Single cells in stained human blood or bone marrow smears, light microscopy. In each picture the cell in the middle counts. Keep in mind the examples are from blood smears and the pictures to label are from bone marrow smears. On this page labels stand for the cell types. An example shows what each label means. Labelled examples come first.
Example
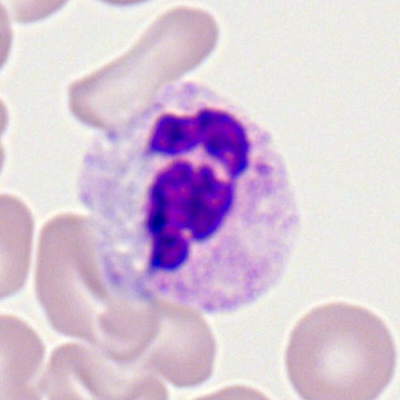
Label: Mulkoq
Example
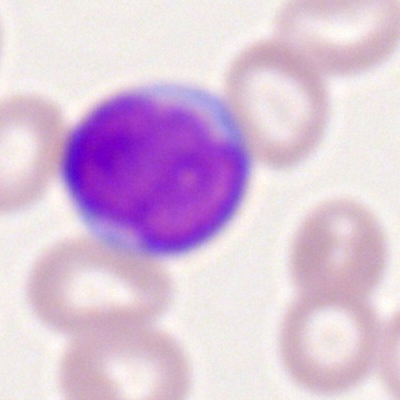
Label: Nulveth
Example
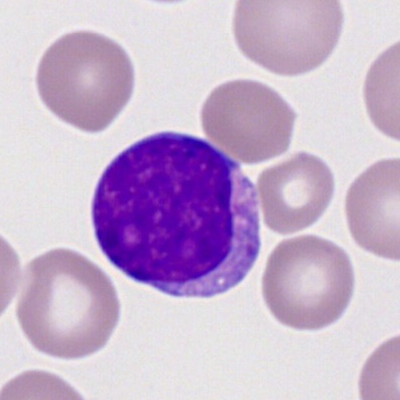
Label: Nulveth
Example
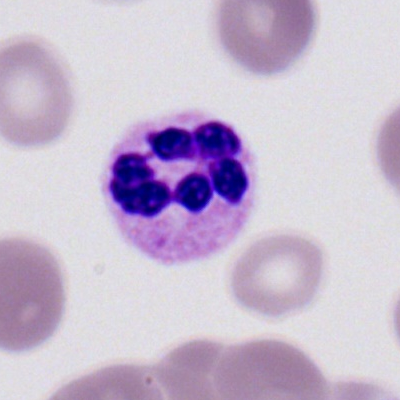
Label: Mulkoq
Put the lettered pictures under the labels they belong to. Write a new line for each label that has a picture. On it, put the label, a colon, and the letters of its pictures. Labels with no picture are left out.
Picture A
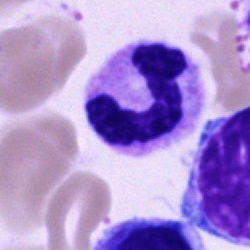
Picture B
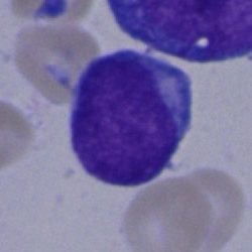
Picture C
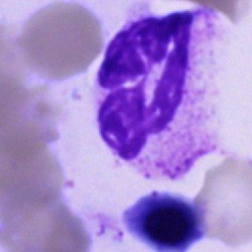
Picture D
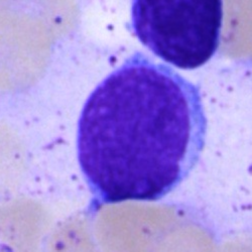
Mulkoq: A, C
Nulveth: B, D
